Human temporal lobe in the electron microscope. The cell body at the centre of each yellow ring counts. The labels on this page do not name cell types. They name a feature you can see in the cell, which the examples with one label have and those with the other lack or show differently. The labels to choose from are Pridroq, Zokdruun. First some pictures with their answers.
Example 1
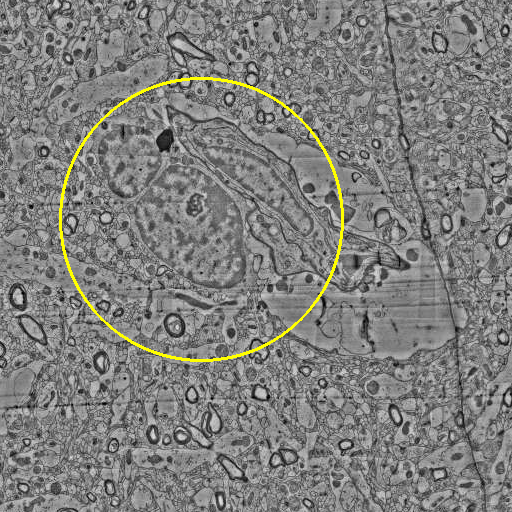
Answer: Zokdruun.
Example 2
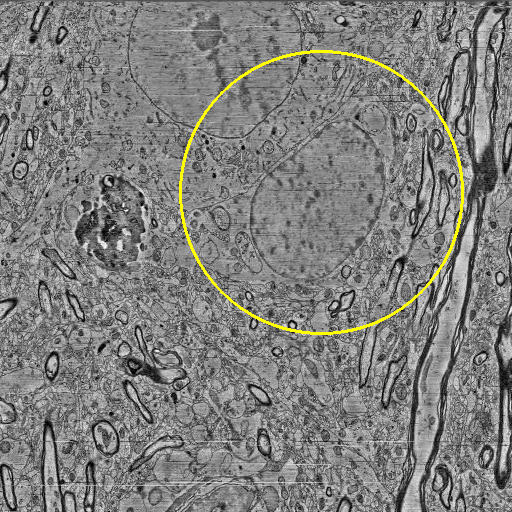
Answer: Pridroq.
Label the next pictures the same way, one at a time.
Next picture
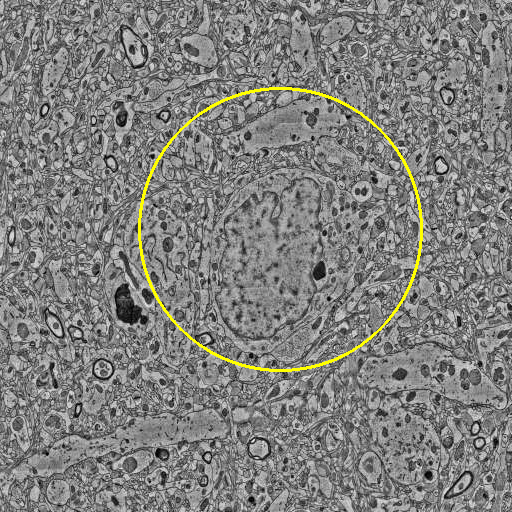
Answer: Pridroq.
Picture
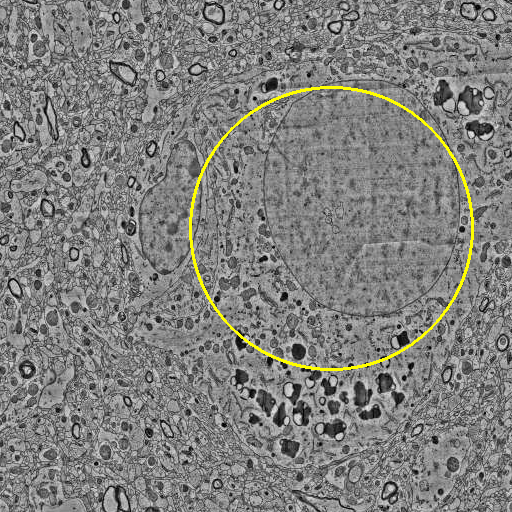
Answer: Pridroq.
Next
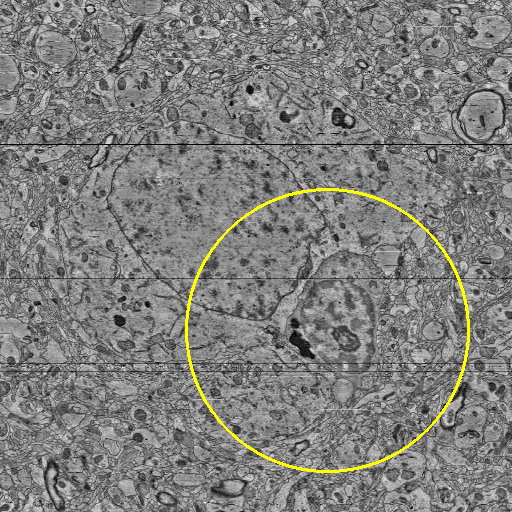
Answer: Zokdruun.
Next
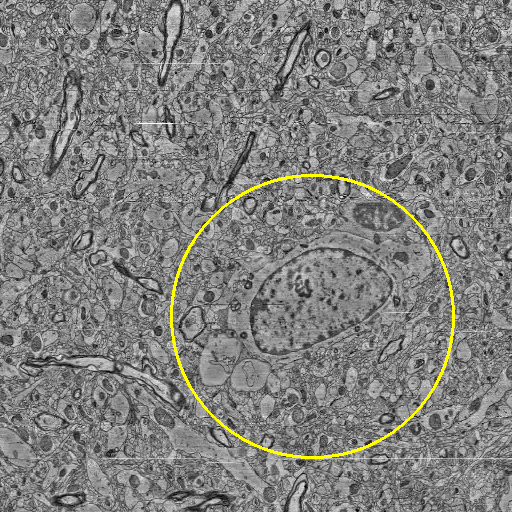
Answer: Zokdruun.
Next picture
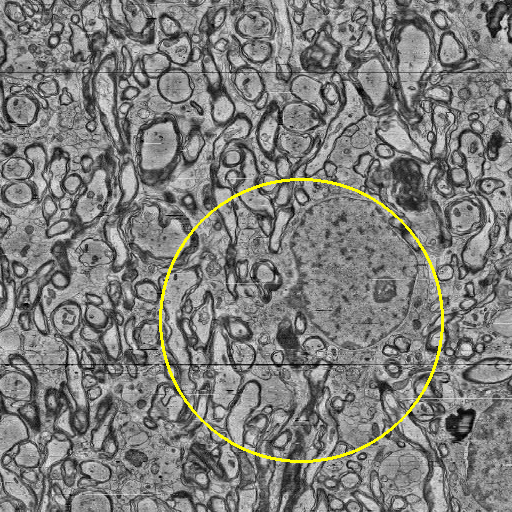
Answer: Zokdruun.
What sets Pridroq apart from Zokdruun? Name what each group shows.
Pridroq: no nucleolus seen; Zokdruun: nucleolus seen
